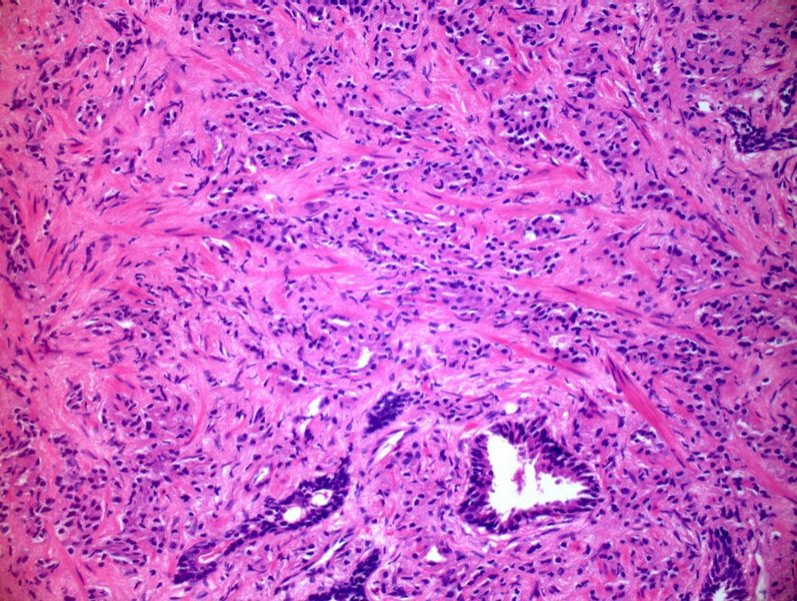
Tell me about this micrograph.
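Prostate tissue with adenocarcinoma fills most of the field: small cells with dark purple nuclei and pale pink cytoplasm lie in cords and small clusters, forming few recognisable lumens, between bundles of pink fibromuscular stroma. At the bottom, a few larger glands with open lumens are lined by a layer of cells with darker, crowded nuclei.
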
